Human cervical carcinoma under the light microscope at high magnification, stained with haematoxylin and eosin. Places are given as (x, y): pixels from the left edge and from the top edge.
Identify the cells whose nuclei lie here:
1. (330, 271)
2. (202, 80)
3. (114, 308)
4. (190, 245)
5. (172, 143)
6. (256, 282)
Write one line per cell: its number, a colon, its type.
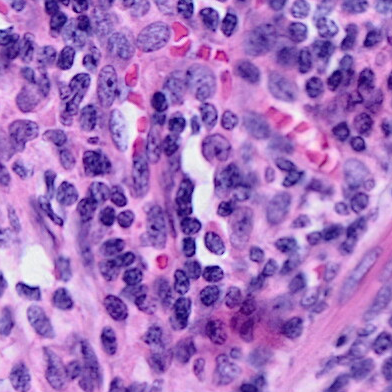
1: endothelial cell
2: endothelial cell
3: lymphocyte
4: lymphocyte
5: lymphocyte
6: lymphocyte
